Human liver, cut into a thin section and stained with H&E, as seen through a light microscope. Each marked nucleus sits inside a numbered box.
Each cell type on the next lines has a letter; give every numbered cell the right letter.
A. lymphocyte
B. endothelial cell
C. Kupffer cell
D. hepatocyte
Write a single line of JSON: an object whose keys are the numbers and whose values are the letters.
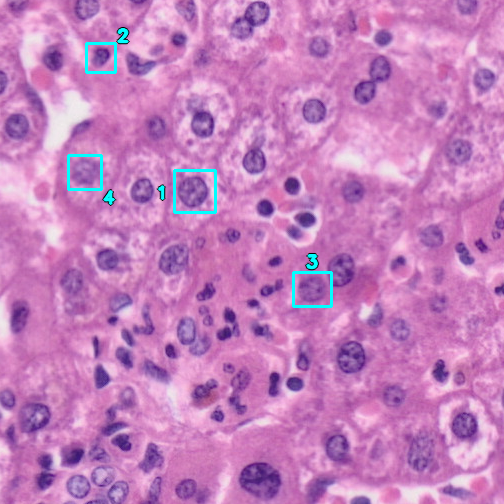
{"1": "D", "2": "A", "3": "D", "4": "D"}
